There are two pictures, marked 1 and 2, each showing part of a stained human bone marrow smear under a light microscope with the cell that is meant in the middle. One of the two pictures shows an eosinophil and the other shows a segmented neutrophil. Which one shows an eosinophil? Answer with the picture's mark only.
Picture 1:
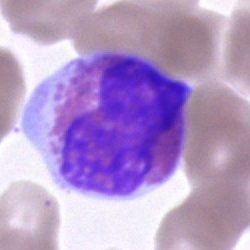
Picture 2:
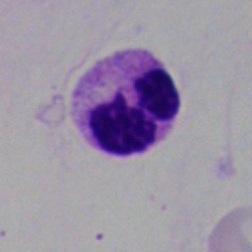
1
